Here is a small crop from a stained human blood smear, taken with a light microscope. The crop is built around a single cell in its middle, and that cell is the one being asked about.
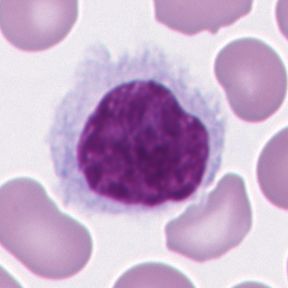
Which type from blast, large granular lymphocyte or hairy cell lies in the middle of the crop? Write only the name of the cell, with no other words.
hairy cell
